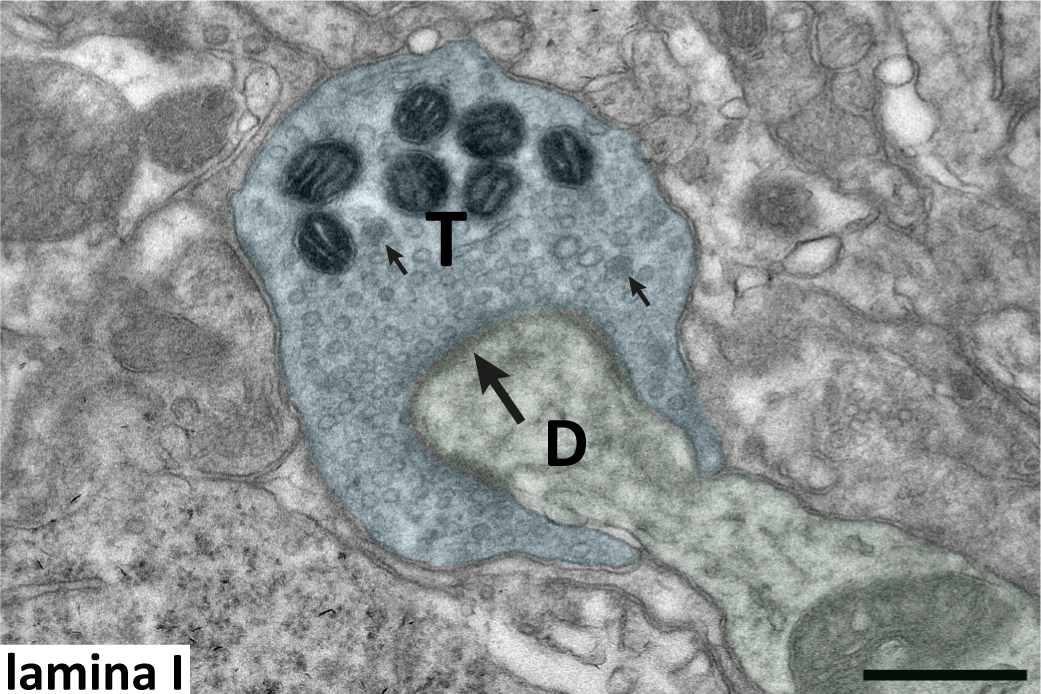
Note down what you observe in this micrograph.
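This electron micrograph of spinal cord neuropil shows a dome-shaped nerve terminal wrapped around a dendrite. The terminal is filled with many small clear vesicles and holds a cluster of about eight mitochondria near its top that are markedly darker than mitochondria elsewhere in the field. A few vesicles with a dark core are scattered among the clear ones. The terminal curves over the rounded tip of the dendrite, and a single synaptic contact with a dense, thickened membrane lies at their junction. The dendrite extends down to the lower right, where it contains a paler mitochondrion of ordinary density.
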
